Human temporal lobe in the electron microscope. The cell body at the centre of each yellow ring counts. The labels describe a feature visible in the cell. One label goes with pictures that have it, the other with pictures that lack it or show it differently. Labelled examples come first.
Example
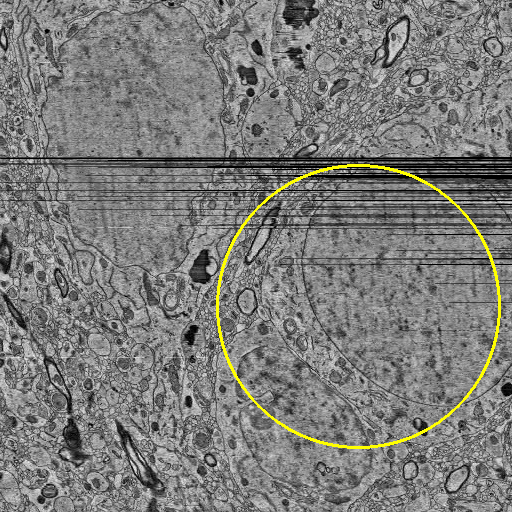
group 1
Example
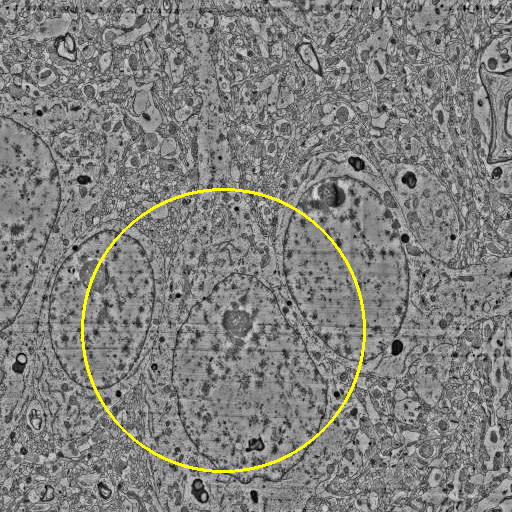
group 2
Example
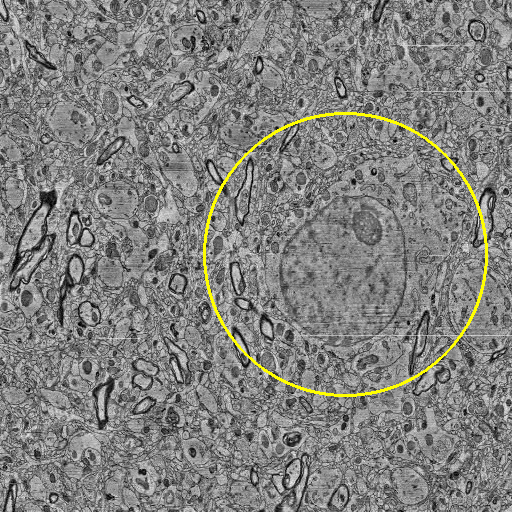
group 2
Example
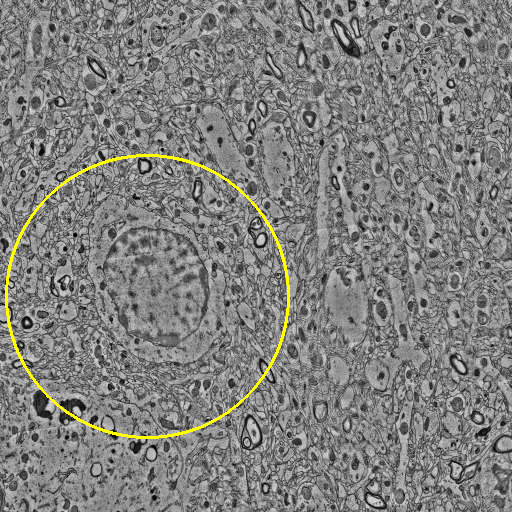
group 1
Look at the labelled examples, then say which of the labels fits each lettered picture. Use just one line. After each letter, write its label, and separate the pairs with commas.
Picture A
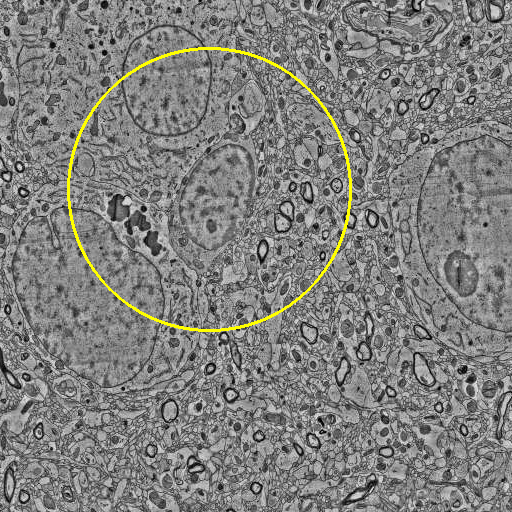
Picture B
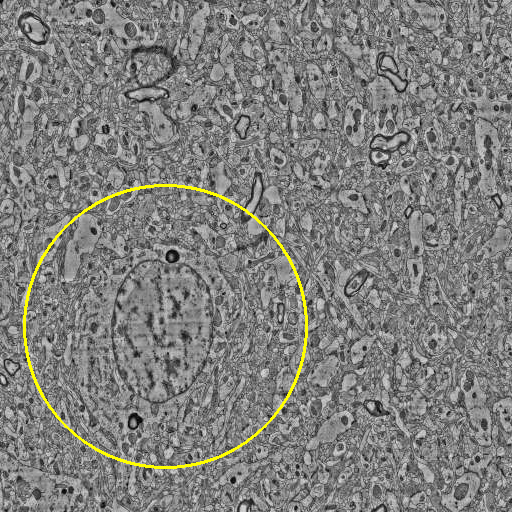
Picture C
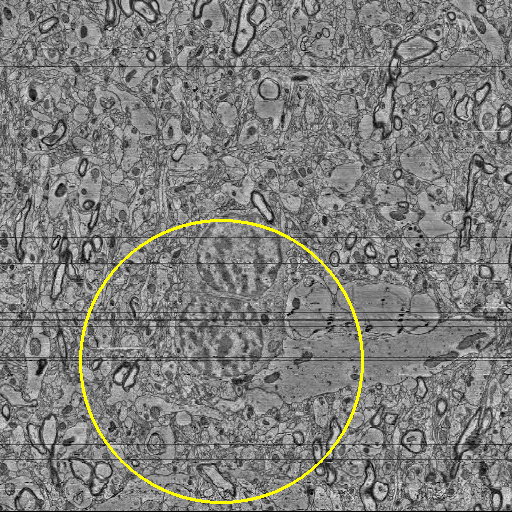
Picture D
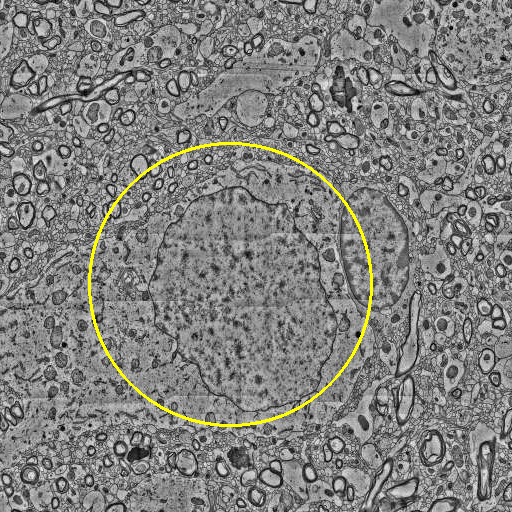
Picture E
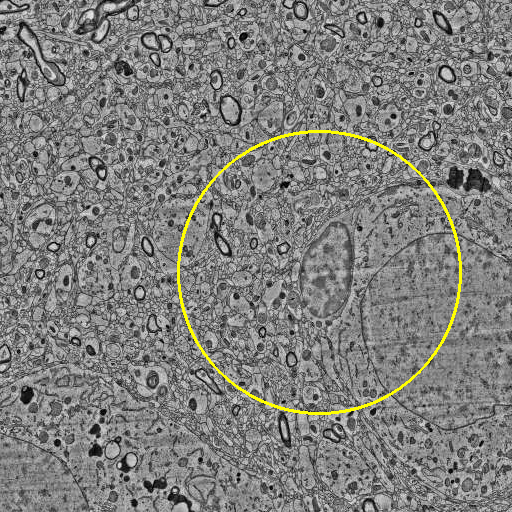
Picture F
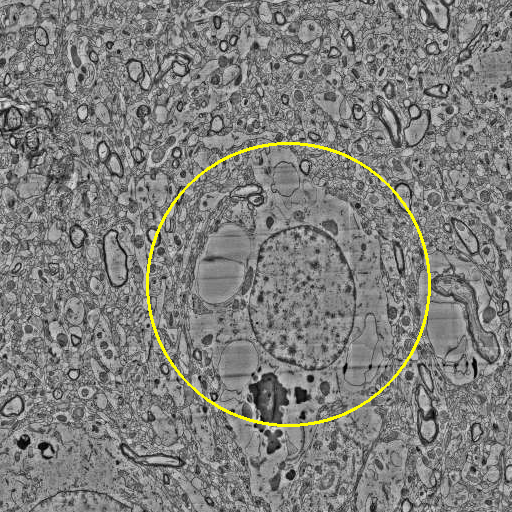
A group 2, B group 1, C group 1, D group 1, E group 1, F group 1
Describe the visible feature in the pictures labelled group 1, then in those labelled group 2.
In group 1: no nucleolus seen. In group 2: nucleolus seen.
